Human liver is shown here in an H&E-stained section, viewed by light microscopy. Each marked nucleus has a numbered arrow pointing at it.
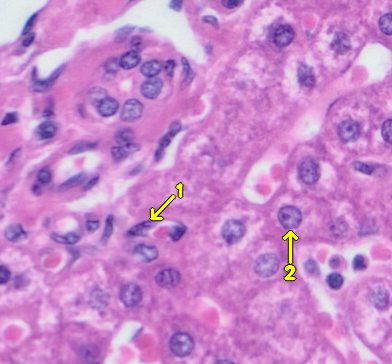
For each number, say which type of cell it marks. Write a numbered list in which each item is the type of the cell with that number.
1. fibroblast or stellate cell
2. hepatocyte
